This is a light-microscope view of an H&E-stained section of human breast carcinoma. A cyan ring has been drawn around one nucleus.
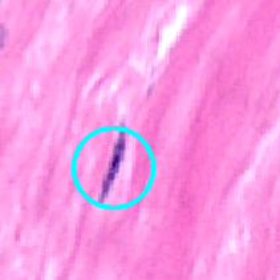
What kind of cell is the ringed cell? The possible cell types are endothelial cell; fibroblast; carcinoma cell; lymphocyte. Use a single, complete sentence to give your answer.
The identity of the ringed cell: it is a fibroblast.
